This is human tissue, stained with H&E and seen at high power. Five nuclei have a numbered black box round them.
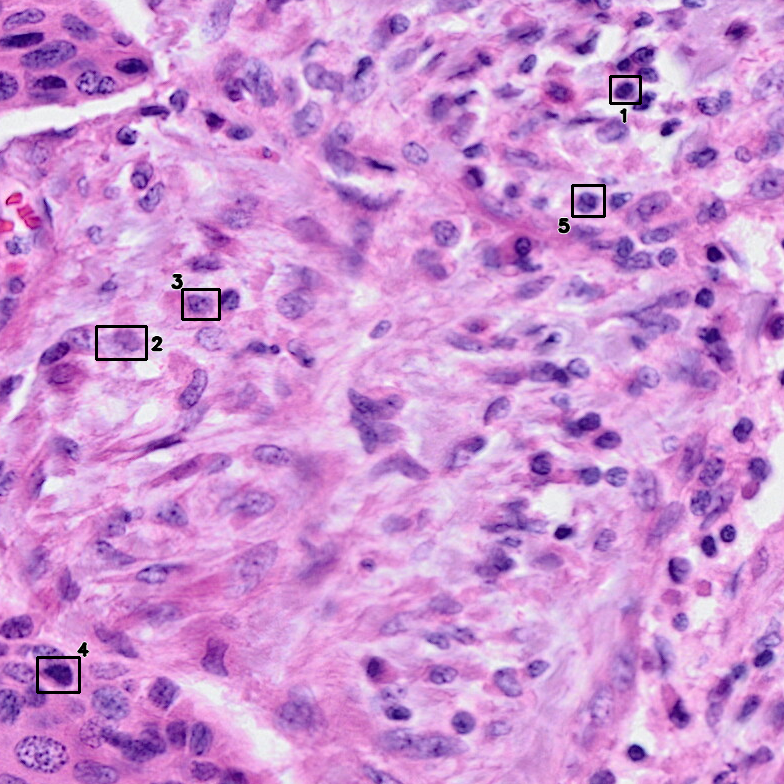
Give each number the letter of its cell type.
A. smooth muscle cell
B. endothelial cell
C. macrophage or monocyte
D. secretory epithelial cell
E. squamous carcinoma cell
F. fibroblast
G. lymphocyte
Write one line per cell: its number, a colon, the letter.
1: G
2: F
3: C
4: E
5: G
